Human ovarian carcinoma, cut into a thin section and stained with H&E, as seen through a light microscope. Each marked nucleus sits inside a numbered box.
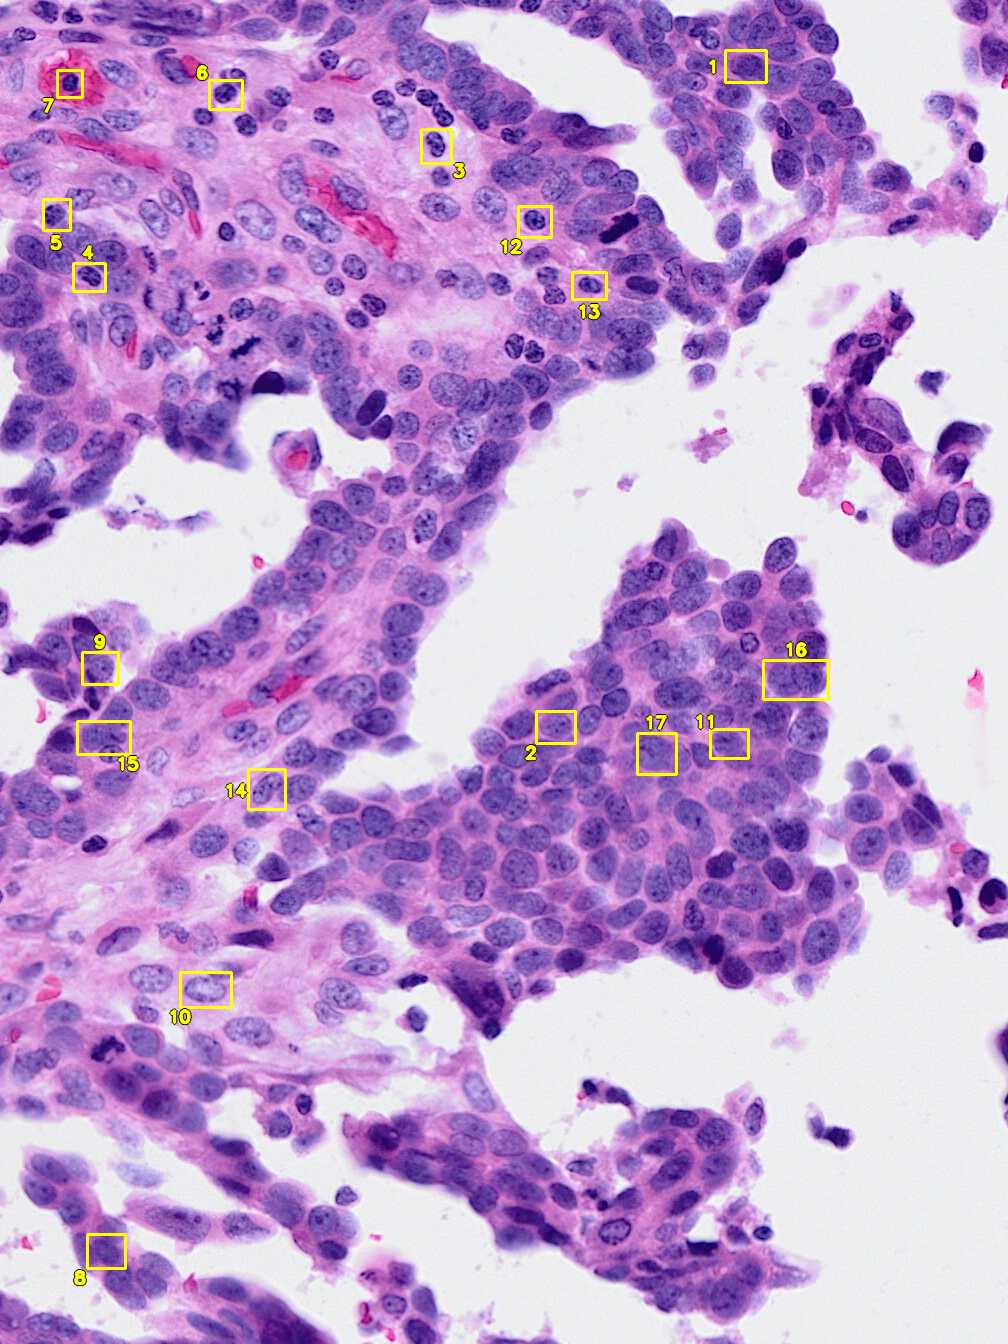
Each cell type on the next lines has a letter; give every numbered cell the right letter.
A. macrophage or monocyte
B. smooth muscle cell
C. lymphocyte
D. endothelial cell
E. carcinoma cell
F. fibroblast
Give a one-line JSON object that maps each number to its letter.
{"1": "E", "2": "E", "3": "C", "4": "C", "5": "C", "6": "C", "7": "C", "8": "E", "9": "E", "10": "F", "11": "E", "12": "C", "13": "C", "14": "A", "15": "E", "16": "E", "17": "E"}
